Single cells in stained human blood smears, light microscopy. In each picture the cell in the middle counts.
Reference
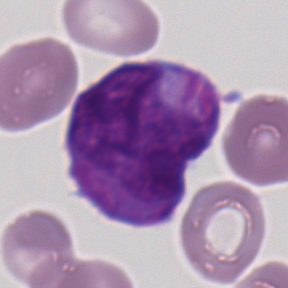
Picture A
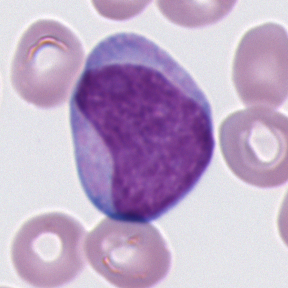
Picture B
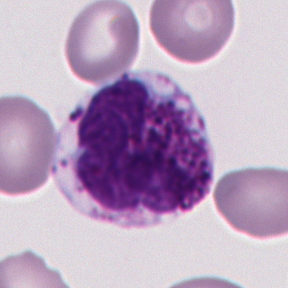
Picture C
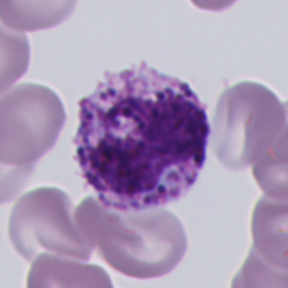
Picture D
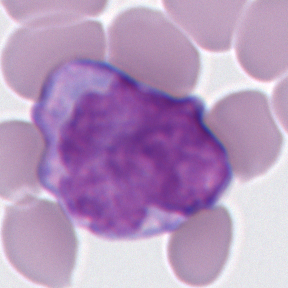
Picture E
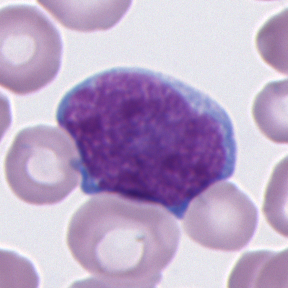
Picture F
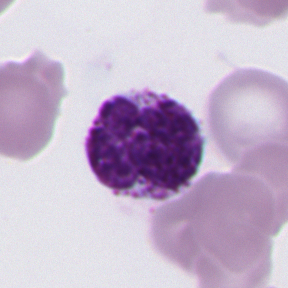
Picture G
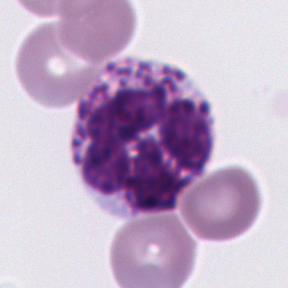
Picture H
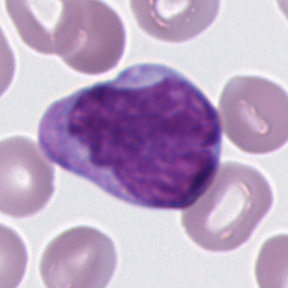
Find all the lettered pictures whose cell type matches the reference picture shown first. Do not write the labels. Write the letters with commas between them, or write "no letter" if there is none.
A, D, H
